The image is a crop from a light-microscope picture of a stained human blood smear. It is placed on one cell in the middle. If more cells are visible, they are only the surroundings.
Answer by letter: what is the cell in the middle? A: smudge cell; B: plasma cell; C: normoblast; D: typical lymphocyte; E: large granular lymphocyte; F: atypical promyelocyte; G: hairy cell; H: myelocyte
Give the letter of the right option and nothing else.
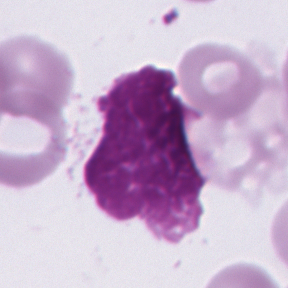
A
